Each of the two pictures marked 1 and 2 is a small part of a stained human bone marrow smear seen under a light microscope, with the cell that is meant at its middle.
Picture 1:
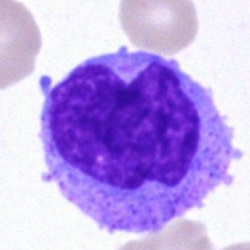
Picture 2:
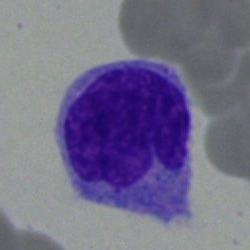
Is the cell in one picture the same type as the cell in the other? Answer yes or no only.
yes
